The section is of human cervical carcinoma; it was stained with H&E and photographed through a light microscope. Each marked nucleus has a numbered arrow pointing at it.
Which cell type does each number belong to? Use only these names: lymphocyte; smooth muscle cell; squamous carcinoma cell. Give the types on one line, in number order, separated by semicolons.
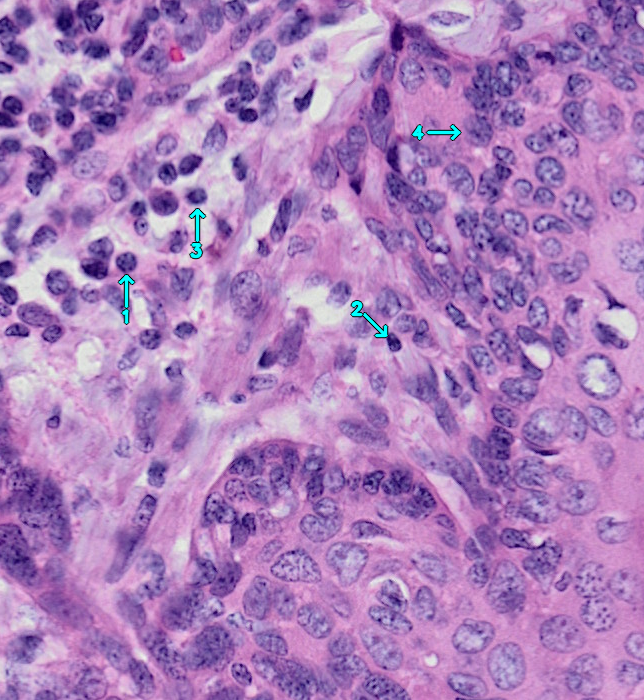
lymphocyte; lymphocyte; lymphocyte; squamous carcinoma cell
